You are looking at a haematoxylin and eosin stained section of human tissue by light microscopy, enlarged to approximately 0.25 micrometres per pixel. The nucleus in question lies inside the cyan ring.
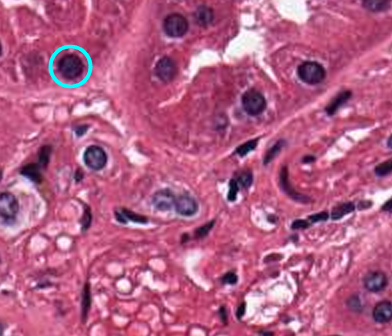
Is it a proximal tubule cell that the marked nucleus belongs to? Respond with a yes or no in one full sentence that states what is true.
Yes, the marked nucleus is housed in a proximal tubule cell.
